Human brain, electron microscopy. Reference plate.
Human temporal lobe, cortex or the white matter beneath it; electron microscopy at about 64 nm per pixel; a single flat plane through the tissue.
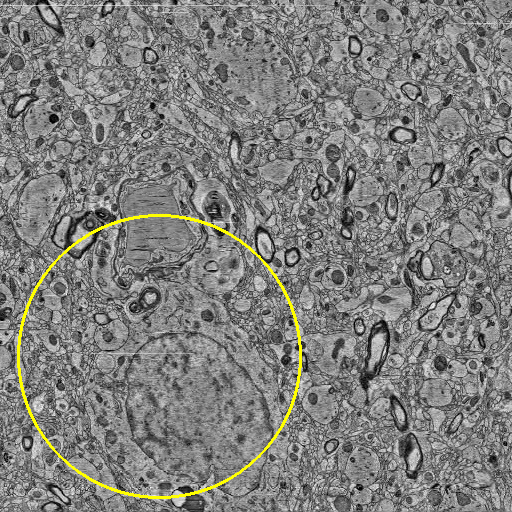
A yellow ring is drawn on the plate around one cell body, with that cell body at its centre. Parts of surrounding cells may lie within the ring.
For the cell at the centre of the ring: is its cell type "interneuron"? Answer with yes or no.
Yes, that is its cell type.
